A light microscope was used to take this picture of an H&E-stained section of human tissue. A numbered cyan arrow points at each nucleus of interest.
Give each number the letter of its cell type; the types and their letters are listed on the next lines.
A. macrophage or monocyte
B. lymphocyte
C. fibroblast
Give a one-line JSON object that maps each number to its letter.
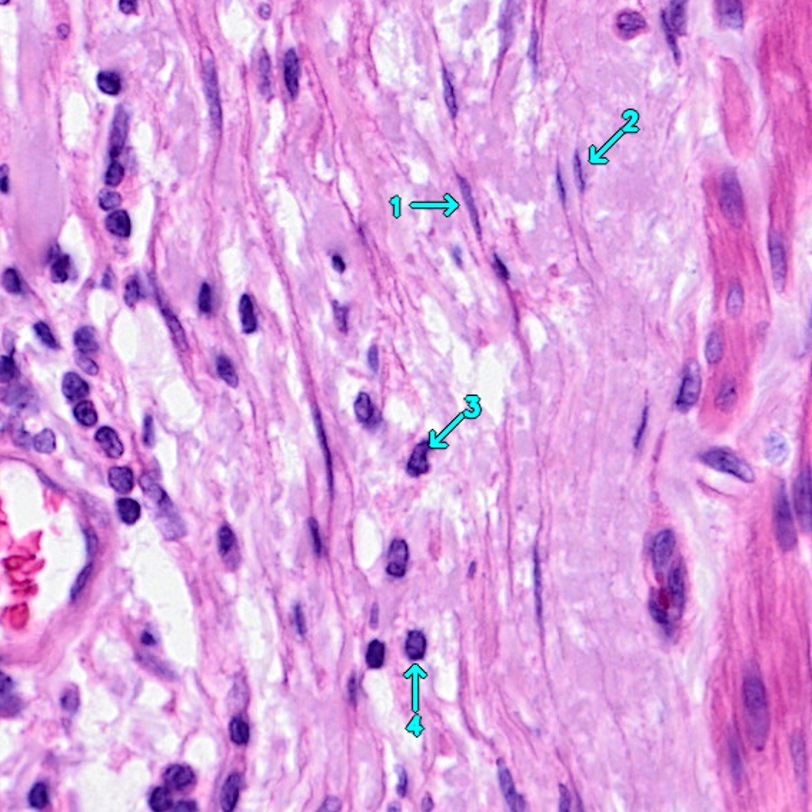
{"1": "C", "2": "C", "3": "B", "4": "B"}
